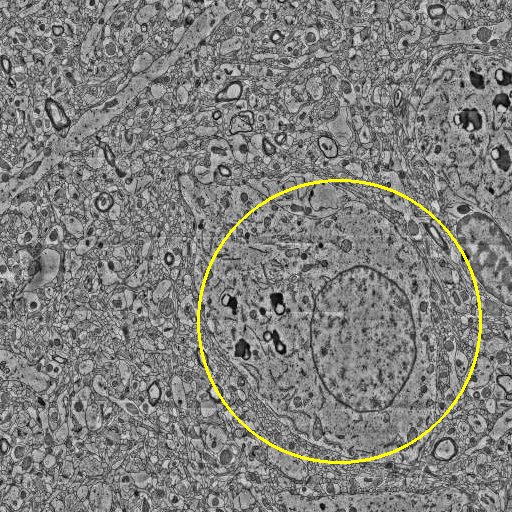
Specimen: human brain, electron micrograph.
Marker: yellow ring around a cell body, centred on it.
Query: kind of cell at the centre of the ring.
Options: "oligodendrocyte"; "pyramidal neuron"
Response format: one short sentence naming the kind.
This cell body belongs to a pyramidal neuron.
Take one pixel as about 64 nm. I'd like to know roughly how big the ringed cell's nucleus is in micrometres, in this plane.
In this plane, the nucleus of the cell at the centre of the ring measures about 9 by 7 micrometres.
